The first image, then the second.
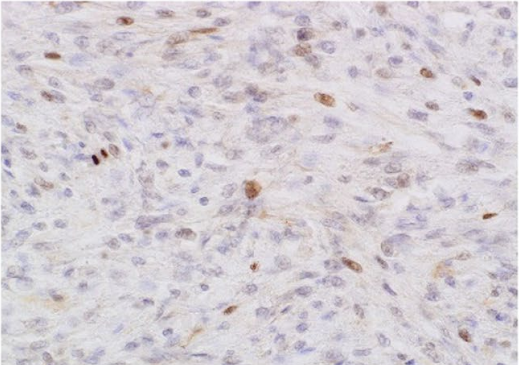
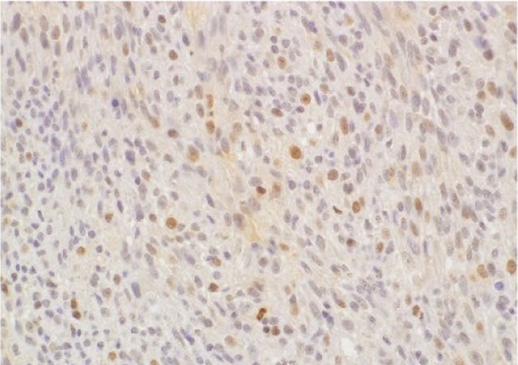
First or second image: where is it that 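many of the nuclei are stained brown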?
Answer: the second image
